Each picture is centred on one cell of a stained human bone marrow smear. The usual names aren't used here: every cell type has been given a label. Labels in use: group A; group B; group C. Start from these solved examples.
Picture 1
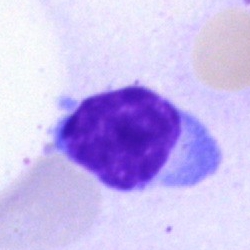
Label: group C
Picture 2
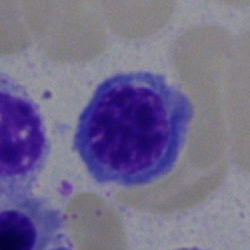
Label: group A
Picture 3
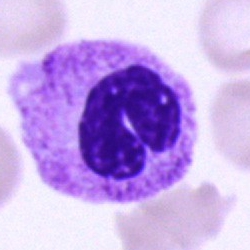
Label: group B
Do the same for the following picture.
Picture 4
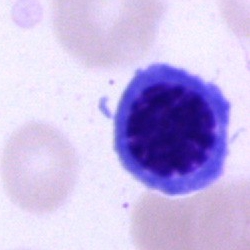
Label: group A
